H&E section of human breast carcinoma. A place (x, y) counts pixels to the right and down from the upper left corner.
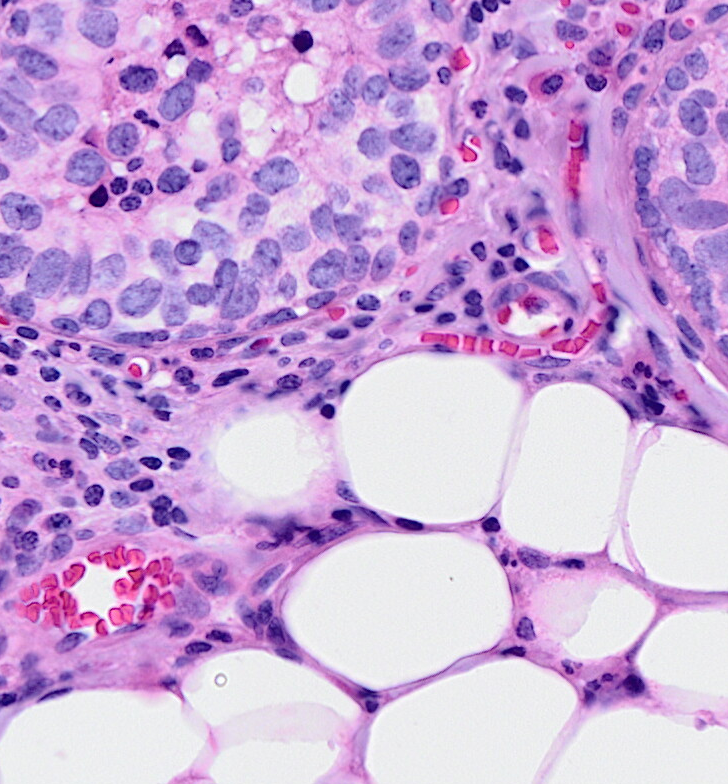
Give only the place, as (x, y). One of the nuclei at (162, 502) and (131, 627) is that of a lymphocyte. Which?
(162, 502)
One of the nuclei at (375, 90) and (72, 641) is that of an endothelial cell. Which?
(72, 641)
